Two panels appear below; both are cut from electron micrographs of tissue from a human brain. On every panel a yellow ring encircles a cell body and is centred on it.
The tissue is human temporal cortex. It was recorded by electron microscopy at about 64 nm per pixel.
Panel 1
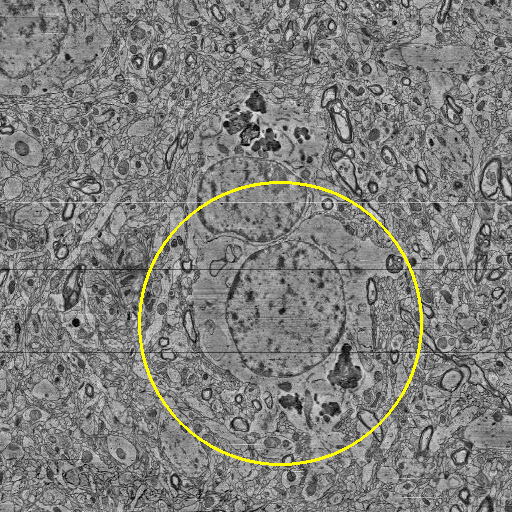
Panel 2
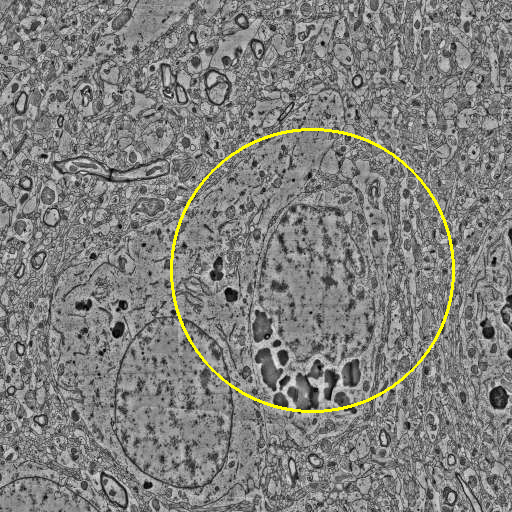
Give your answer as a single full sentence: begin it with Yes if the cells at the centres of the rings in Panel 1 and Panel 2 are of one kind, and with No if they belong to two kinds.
No, the cells in the middle of the rings in Panels 1 and 2 are of two kinds.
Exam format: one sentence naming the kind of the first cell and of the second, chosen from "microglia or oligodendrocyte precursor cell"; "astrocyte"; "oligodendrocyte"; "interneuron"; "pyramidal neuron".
The first picture's cell is an astrocyte, and the second picture's cell is an interneuron.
